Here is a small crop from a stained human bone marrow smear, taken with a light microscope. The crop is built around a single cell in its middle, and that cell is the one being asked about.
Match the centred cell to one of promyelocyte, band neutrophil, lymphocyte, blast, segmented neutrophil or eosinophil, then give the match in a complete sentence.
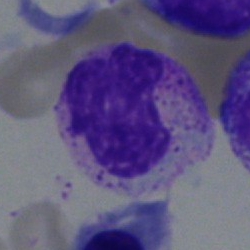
For this crop, the cell in the middle is a band neutrophil.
